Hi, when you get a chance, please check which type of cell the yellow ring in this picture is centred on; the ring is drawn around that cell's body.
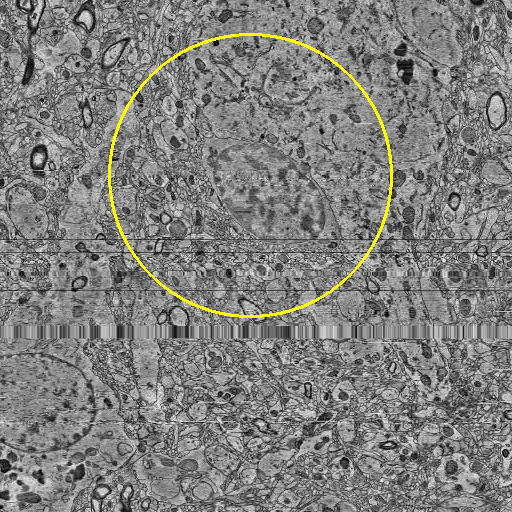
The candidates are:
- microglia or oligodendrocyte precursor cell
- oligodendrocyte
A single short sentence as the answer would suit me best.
The ring is drawn around the body of an oligodendrocyte.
